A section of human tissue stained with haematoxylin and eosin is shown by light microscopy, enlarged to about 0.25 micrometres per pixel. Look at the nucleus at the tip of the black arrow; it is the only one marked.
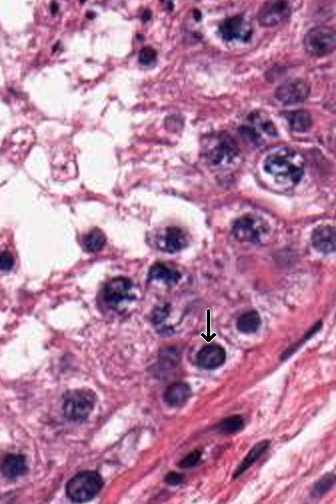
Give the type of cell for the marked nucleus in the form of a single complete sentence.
It is a spermatogonium that the marked nucleus belongs to.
